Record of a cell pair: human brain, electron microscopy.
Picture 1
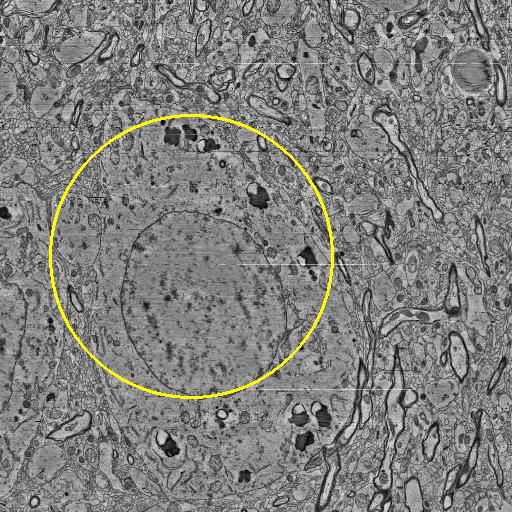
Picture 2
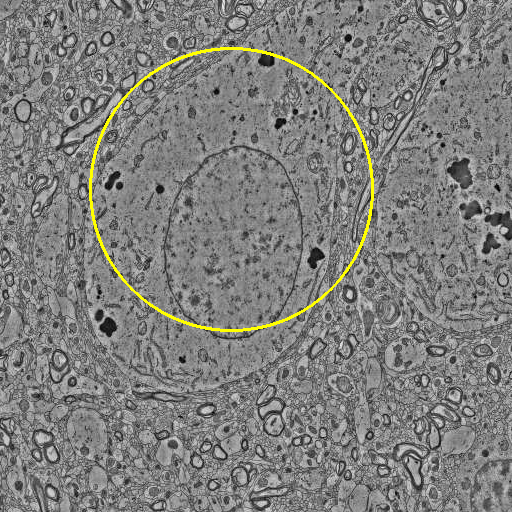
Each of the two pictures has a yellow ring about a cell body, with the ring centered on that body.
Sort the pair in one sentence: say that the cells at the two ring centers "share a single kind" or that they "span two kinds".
The cells centered in the rings of Pictures 1 and 2 share a single kind.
